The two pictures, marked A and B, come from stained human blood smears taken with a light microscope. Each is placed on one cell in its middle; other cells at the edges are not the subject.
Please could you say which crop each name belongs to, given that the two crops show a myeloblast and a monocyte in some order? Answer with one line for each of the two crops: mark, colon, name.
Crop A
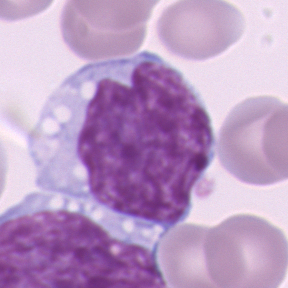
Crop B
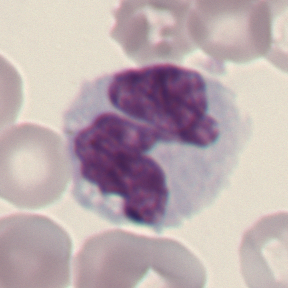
A: myeloblast
B: monocyte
